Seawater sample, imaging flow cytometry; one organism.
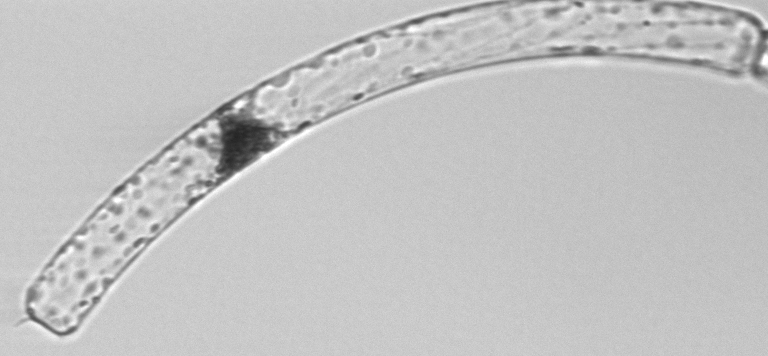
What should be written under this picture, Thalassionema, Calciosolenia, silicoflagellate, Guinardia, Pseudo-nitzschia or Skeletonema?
Guinardia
